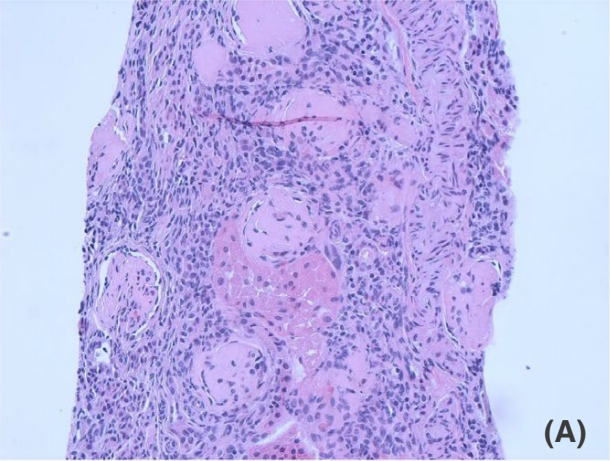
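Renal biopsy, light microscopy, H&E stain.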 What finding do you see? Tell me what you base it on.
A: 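Several round glomeruli are filled with homogeneous pink material with few nuclei. No open capillary loops are seen in these tufts. On this evidence: globally sclerotic.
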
